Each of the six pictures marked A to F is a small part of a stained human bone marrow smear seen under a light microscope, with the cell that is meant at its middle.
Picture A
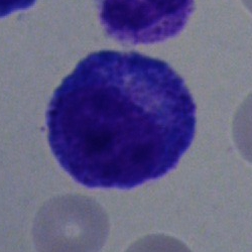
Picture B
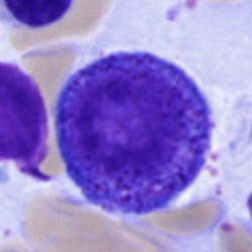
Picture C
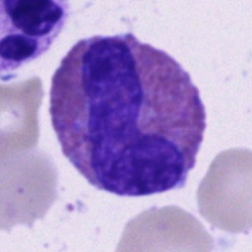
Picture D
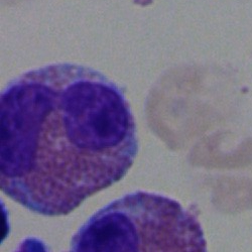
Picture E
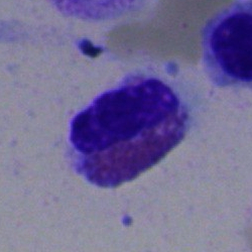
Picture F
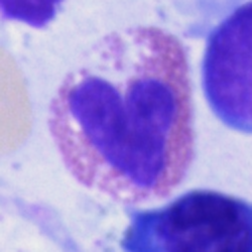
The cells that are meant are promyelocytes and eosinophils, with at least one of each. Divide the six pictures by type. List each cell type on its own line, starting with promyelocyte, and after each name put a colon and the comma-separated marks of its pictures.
promyelocyte: A, B
eosinophil: C, D, E, F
